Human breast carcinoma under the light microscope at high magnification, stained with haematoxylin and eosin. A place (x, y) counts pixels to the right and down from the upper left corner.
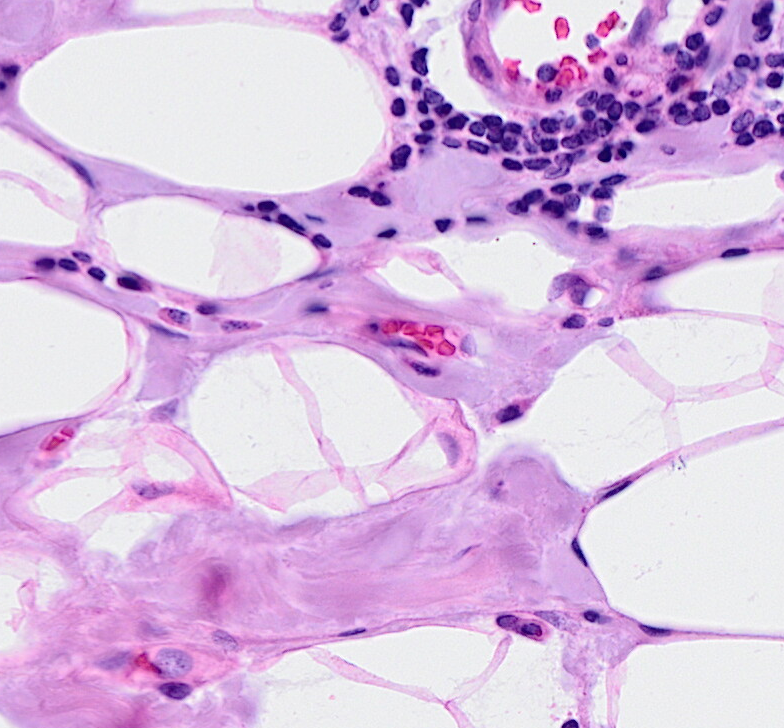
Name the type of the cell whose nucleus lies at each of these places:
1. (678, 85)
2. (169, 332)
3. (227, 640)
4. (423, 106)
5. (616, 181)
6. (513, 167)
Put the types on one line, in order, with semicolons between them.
lymphocyte; fibroblast; fibroblast; lymphocyte; lymphocyte; lymphocyte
